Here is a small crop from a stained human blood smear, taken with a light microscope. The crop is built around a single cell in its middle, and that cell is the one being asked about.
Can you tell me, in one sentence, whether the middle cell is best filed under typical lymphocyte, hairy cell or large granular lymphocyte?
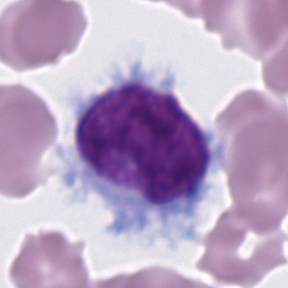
The cell found in the middle of this crop is a hairy cell.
